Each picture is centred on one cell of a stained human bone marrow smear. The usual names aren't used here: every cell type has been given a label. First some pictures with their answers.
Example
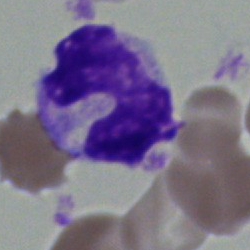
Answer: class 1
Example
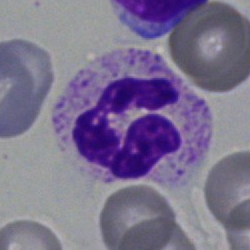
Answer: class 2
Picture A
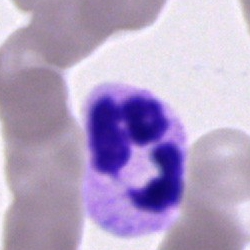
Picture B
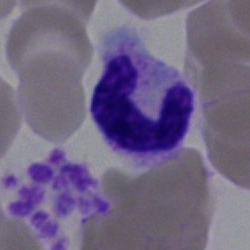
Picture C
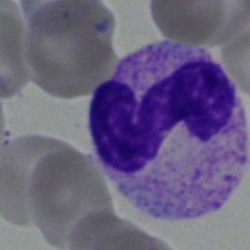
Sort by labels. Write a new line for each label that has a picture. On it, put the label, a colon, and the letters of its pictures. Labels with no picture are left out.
class 1: C
class 2: A, B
